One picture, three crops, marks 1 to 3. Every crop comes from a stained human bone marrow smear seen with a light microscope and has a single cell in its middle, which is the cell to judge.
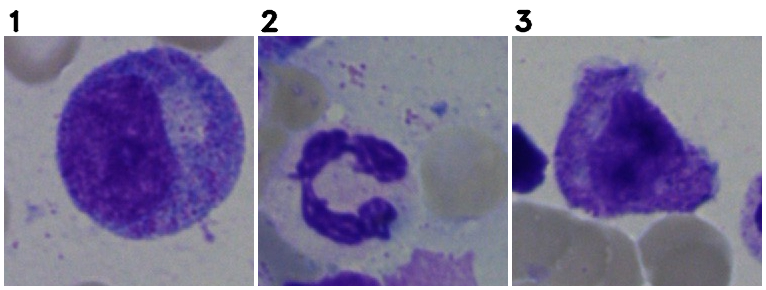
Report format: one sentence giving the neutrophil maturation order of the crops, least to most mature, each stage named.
The order of the crops by rising maturity is crop 1 (a promyelocyte), crop 3 (a myelocyte) and crop 2 (a segmented neutrophil).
